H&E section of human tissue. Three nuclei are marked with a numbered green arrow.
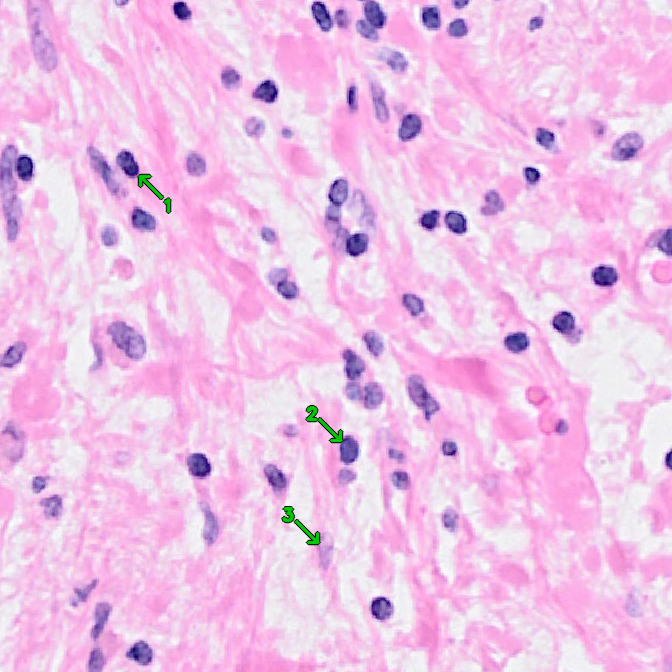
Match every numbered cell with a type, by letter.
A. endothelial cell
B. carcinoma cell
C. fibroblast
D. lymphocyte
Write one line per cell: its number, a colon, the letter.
1: D
2: D
3: C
